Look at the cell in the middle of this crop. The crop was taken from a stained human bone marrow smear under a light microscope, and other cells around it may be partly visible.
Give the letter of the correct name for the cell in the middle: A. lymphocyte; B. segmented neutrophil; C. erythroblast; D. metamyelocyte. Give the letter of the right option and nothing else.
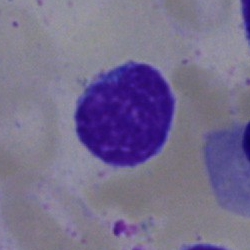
A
